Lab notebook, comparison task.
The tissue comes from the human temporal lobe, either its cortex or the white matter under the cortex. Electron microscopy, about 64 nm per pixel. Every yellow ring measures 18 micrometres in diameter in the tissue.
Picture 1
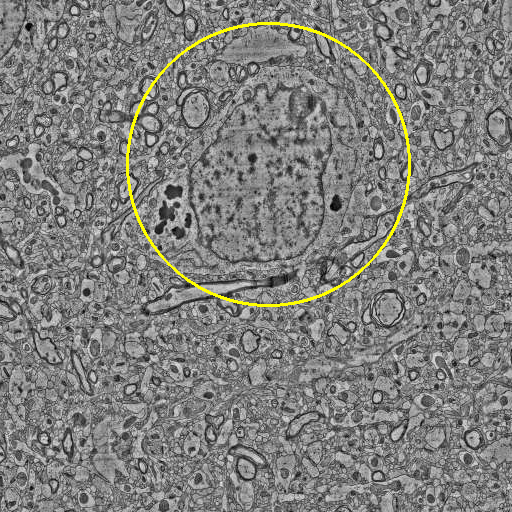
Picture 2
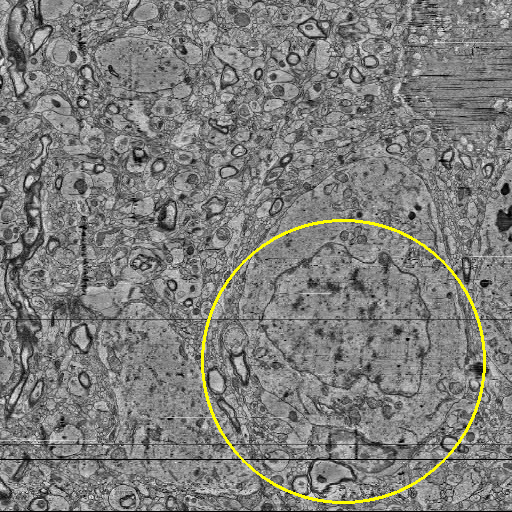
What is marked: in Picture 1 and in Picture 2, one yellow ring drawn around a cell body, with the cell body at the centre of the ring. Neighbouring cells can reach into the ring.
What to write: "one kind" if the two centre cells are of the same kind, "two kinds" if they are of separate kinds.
one kind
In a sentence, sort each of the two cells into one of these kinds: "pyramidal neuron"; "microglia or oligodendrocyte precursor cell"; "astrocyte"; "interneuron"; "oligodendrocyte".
Each of the ringed cells, first and second, is an interneuron.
